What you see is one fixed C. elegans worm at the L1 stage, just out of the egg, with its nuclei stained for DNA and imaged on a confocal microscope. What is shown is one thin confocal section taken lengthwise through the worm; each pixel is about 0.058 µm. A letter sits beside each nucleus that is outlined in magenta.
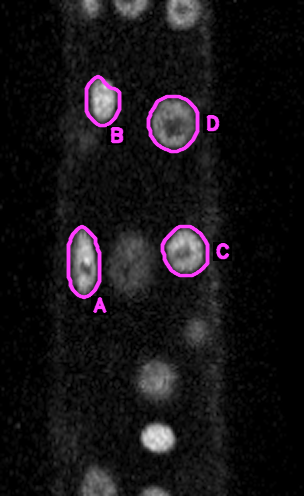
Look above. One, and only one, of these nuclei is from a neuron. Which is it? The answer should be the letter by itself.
B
